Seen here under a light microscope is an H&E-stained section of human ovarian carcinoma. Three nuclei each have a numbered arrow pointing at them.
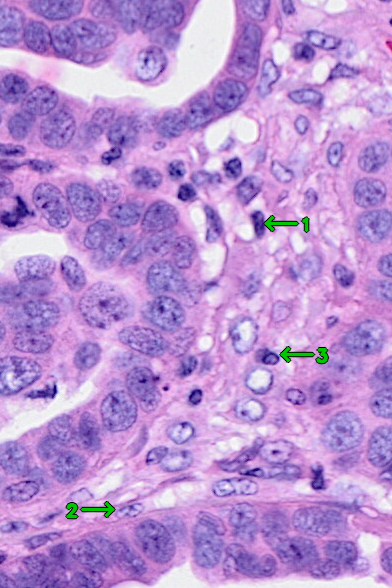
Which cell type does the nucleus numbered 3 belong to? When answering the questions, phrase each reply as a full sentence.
The marked cell with the number 3 is recognised as a lymphocyte.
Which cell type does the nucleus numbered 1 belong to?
The cell identified by number 1 is a lymphocyte.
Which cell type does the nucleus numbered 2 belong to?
Cell 2, among those numbered, is a fibroblast.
